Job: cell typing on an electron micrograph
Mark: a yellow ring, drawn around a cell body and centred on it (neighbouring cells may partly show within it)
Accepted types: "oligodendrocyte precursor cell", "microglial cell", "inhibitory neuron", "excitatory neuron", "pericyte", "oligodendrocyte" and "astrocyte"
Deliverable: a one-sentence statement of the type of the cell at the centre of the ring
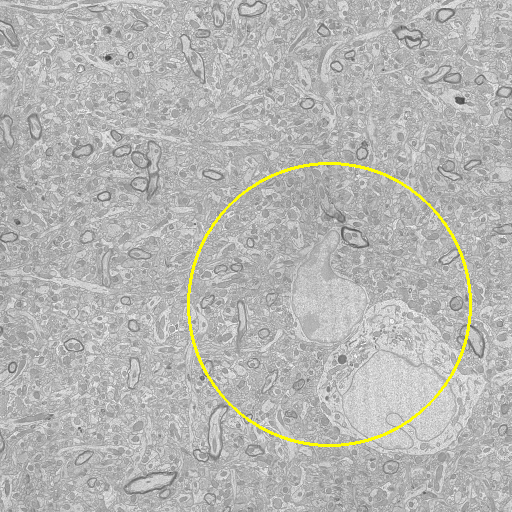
The centred cell body is that of an oligodendrocyte precursor cell.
